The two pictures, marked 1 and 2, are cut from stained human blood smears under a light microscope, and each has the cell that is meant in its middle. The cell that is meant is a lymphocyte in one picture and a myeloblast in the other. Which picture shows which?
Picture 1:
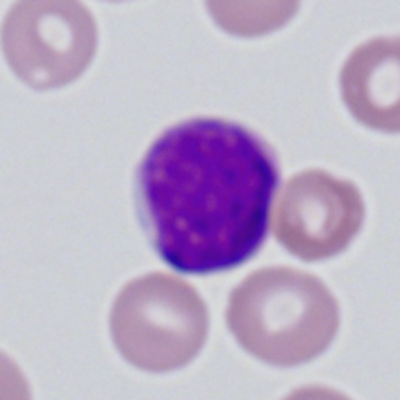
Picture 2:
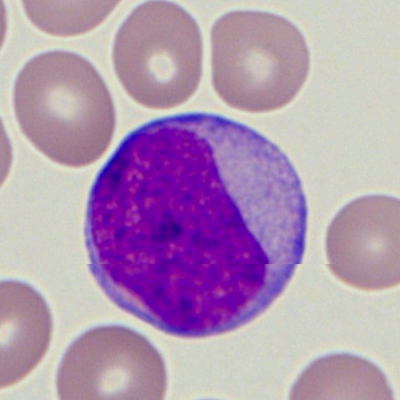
1: lymphocyte
2: myeloblast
